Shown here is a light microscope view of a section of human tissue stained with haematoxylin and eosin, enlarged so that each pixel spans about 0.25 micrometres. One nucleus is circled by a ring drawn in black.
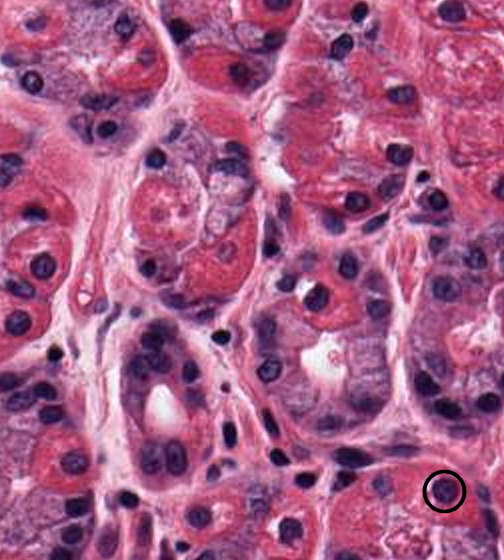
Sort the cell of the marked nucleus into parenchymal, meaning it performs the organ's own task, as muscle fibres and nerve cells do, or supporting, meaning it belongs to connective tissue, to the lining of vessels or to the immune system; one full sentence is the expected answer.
The marked nucleus belongs to a cell of the parenchyma, namely a parietal cell.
